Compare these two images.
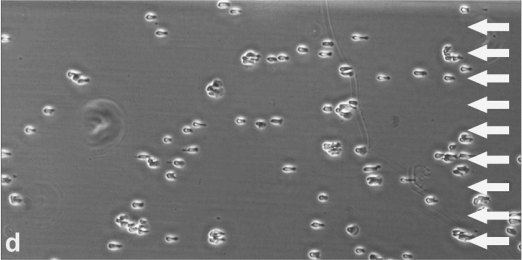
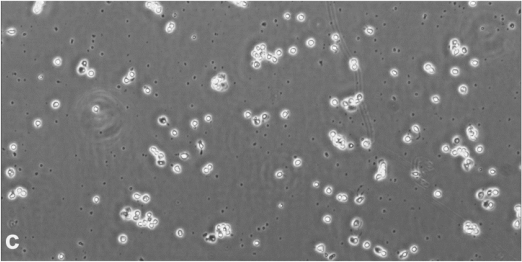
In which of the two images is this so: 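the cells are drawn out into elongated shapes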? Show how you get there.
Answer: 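Second image: the cells are mostly round, bright-rimmed bodies, singly or in clusters. First image: many cells are stretched into teardrop shapes aligned along one axis. On this evidence: the first image.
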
